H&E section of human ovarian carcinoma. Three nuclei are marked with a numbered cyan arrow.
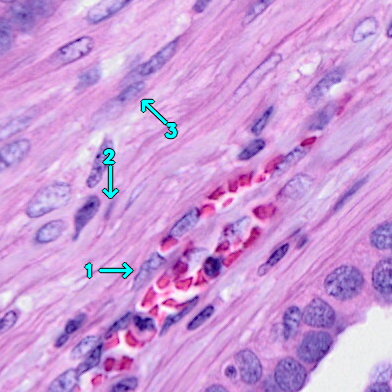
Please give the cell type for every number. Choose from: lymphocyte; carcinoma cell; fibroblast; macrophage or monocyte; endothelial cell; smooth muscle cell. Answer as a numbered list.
1. endothelial cell
2. fibroblast
3. fibroblast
